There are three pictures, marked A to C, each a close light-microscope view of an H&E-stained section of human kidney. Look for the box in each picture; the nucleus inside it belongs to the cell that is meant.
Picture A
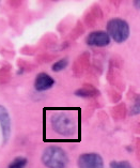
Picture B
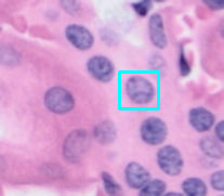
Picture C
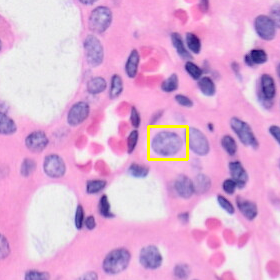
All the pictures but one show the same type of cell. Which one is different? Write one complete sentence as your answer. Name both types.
All pictures except A show collecting duct cells; picture A shows a “loop of Henle or distal tubule cell”.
